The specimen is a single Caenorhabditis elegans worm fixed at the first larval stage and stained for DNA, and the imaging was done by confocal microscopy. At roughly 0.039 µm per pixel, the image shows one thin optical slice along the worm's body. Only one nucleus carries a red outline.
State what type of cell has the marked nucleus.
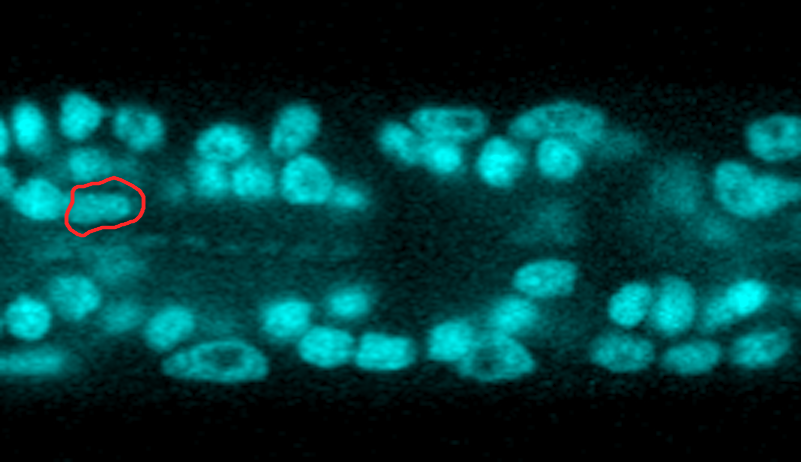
pharyngeal marginal cell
